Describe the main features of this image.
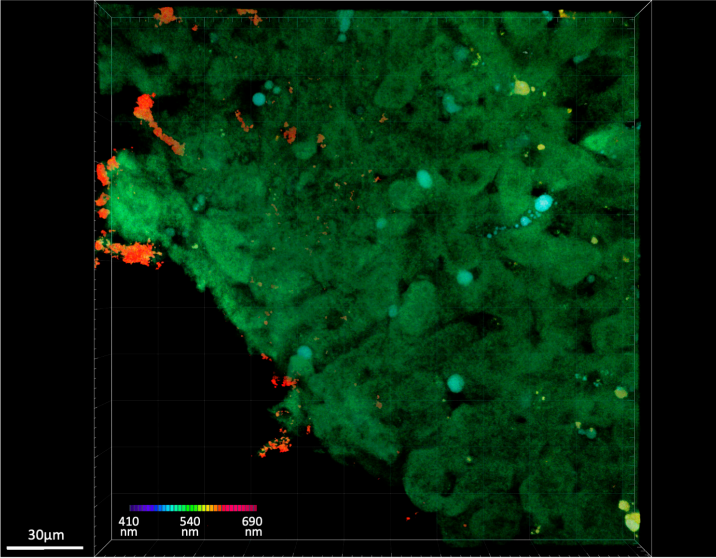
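Scattered through the tissue are brighter round cyan bodies and a few small yellow spots. The red material thus stays largely at the surface rather than spreading through the slice.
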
